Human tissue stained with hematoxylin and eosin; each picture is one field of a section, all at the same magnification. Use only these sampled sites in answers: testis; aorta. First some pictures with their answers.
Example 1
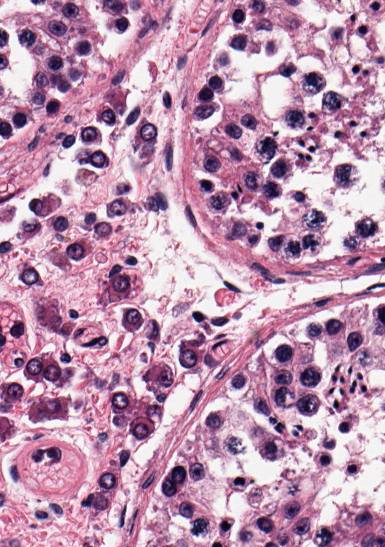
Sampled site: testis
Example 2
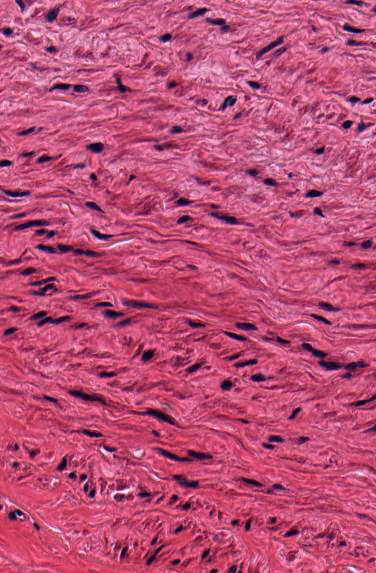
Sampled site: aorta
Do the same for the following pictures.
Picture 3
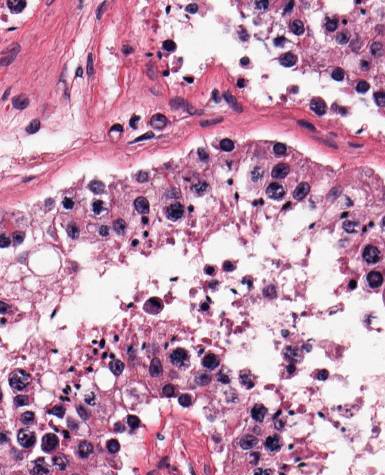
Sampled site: testis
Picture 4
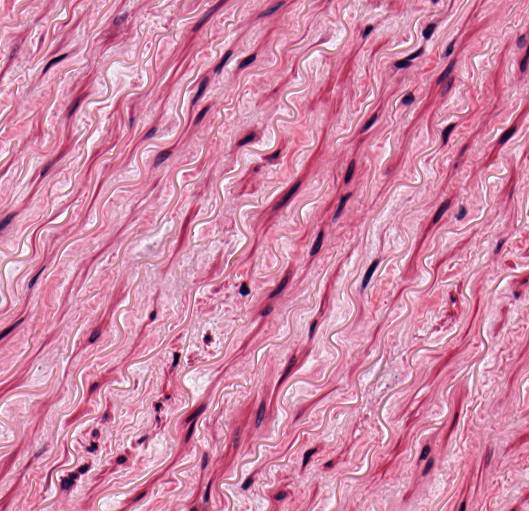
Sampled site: aorta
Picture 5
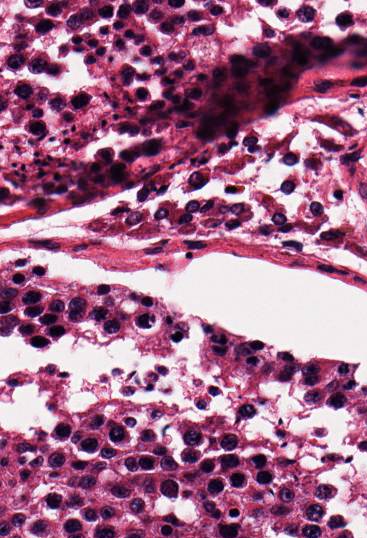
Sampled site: testis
